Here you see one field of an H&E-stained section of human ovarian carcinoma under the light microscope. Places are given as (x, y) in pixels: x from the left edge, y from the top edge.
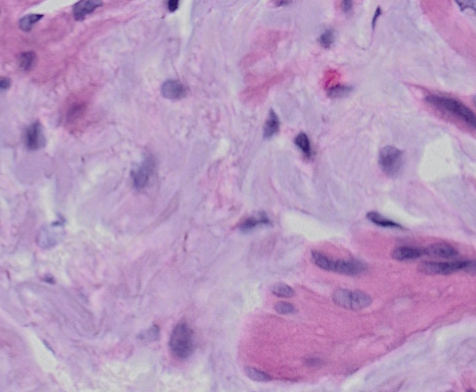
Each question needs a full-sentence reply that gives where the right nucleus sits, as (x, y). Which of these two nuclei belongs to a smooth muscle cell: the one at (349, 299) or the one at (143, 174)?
Of these two nuclei, it is the one at (349, 299) that belongs to a smooth muscle cell.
